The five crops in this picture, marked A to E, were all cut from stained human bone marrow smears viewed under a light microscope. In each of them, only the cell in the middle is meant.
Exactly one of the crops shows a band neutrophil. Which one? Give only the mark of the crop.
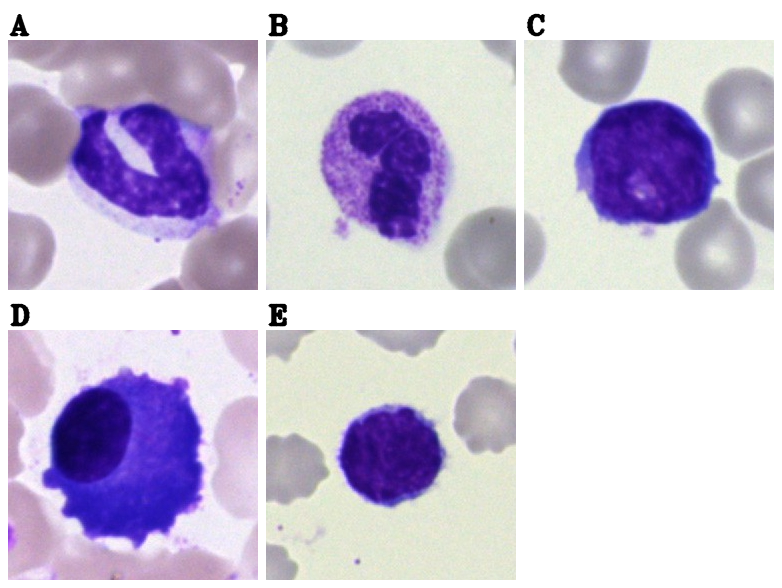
A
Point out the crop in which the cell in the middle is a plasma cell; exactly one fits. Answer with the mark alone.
D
